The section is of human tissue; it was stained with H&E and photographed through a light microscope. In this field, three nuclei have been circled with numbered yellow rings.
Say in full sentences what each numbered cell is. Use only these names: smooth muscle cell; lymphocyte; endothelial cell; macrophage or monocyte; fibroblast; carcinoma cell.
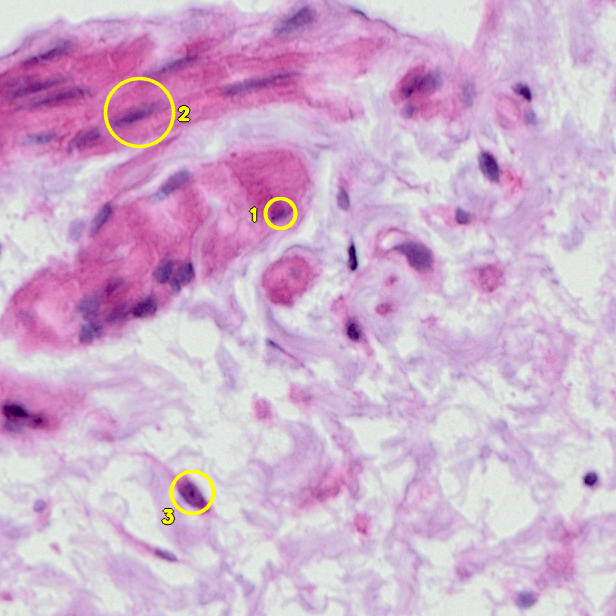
Cells 1 and 2 are smooth muscle cells. Cell 3 is a fibroblast.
